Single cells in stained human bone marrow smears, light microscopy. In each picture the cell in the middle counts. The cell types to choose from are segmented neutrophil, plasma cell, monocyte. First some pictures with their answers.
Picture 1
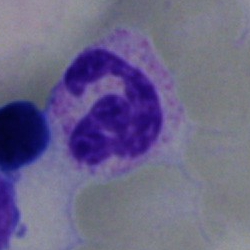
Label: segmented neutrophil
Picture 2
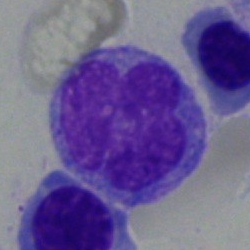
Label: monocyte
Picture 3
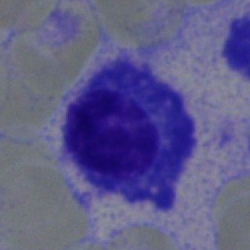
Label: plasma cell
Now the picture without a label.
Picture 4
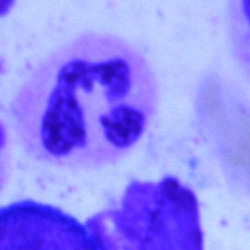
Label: segmented neutrophil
